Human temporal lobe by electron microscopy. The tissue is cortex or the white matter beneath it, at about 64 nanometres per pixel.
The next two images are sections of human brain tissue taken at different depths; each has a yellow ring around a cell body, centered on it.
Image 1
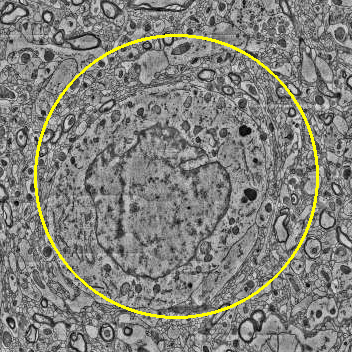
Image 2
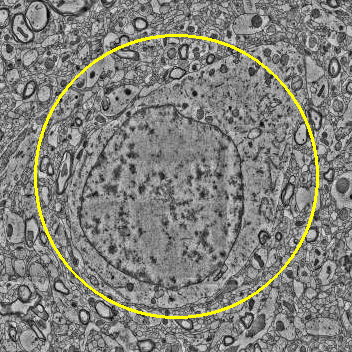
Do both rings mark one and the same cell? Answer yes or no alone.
yes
